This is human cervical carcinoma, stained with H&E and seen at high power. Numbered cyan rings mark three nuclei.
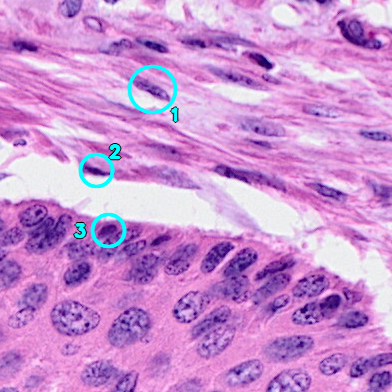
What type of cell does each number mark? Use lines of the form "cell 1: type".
cell 1: fibroblast
cell 2: fibroblast
cell 3: squamous carcinoma cell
